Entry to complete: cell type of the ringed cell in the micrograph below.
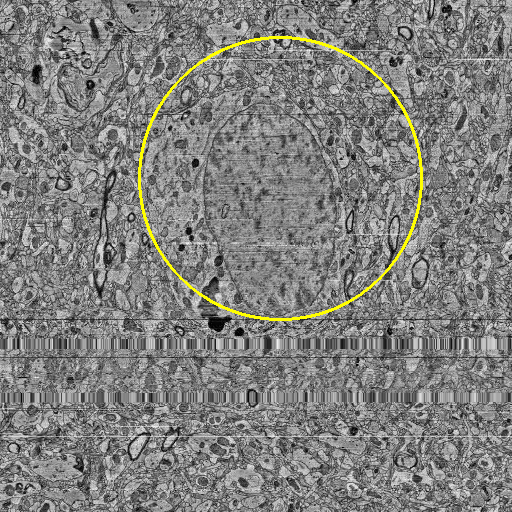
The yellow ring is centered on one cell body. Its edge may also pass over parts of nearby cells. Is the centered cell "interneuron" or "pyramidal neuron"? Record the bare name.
interneuron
